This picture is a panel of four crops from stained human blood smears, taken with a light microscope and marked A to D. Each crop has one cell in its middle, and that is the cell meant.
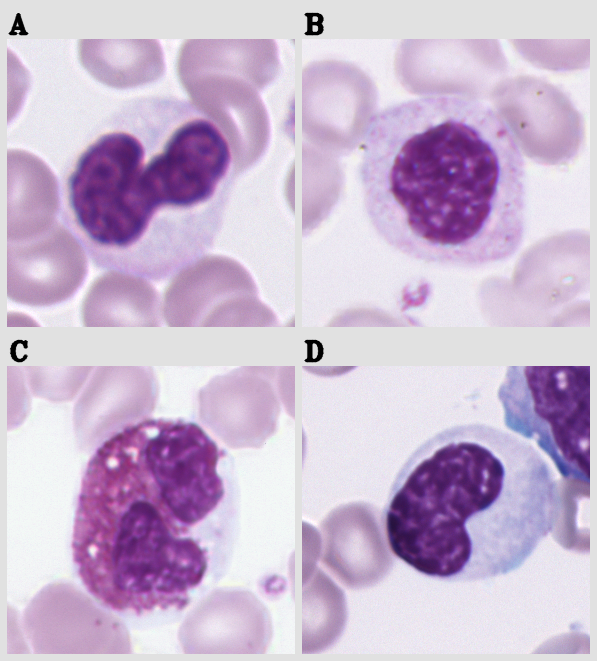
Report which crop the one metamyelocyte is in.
B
